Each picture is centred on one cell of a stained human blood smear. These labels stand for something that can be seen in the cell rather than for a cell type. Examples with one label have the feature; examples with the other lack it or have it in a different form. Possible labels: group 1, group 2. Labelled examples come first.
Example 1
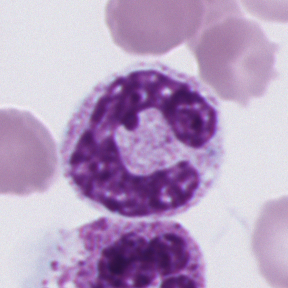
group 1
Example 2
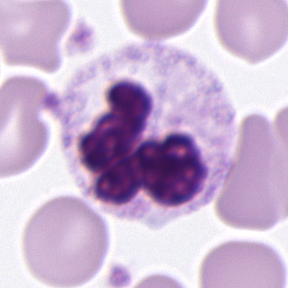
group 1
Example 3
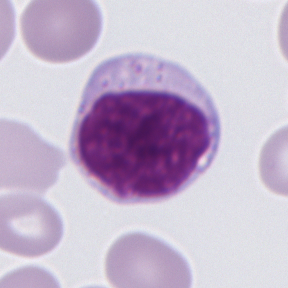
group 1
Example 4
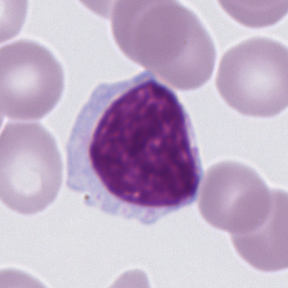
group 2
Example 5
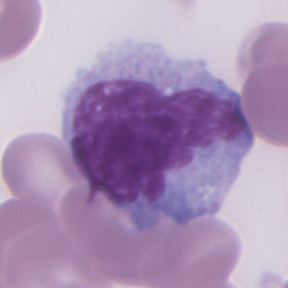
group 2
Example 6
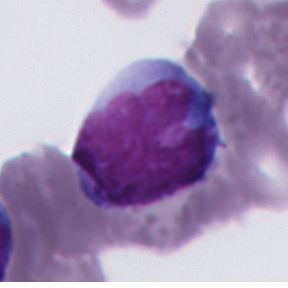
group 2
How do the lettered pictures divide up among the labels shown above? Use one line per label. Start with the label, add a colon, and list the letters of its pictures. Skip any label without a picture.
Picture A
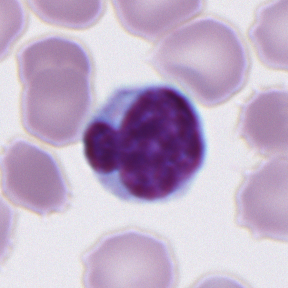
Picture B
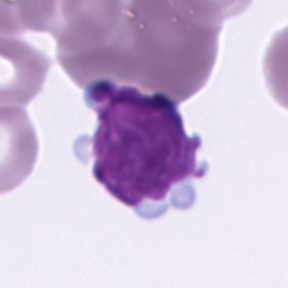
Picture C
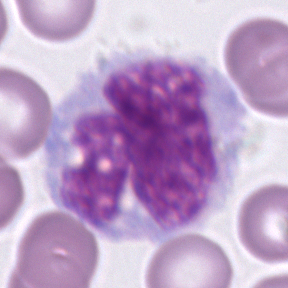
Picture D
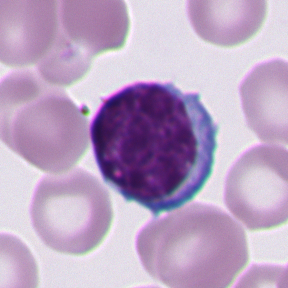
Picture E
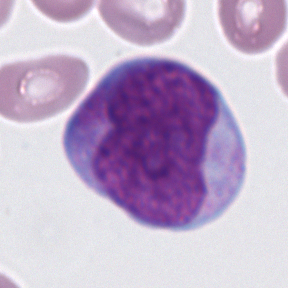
group 1: A, E
group 2: B, C, D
